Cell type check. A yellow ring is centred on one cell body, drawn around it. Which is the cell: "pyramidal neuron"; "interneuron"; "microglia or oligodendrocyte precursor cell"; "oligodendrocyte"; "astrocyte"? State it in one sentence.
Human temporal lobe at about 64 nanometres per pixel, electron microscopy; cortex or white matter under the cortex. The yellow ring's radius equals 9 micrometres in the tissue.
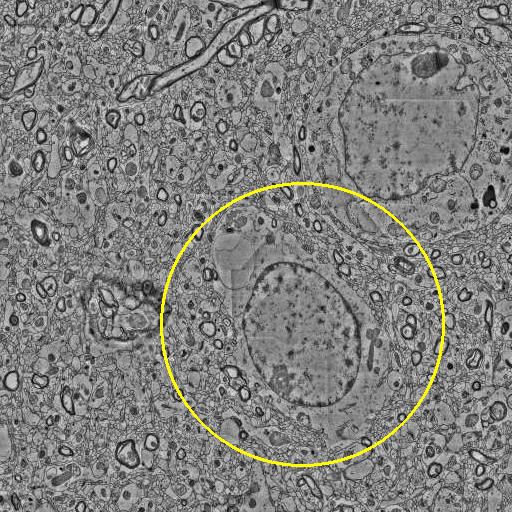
The cell body at the ring's centre belongs to an astrocyte.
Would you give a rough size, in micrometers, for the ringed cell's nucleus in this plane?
The nucleus is approximately 10 micrometers long by 7 micrometers wide in this plane.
